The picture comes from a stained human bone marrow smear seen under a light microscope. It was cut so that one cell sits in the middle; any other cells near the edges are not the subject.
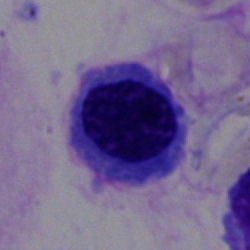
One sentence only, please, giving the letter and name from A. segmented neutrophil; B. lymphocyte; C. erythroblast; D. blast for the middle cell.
Option C is correct here, and the cell in the middle is an erythroblast.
